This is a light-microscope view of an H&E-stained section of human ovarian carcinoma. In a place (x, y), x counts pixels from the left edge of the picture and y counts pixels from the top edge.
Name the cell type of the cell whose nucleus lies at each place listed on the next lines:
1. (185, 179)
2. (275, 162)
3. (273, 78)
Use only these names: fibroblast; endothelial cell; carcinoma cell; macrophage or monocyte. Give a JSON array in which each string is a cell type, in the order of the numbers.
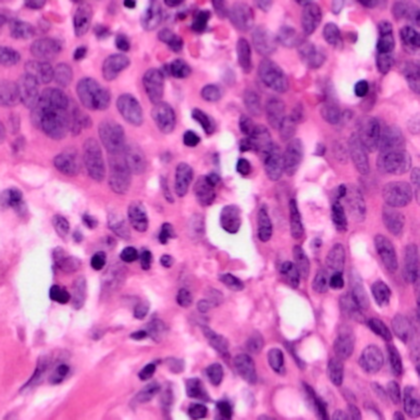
["macrophage or monocyte", "carcinoma cell", "carcinoma cell"]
